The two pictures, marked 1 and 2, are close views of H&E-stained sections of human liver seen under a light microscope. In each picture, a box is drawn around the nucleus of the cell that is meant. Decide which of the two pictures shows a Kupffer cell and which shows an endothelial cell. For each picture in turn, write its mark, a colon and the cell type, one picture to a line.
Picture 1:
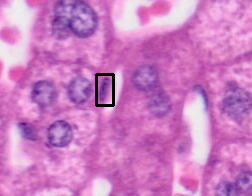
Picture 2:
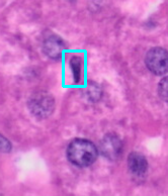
1: Kupffer cell
2: endothelial cell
